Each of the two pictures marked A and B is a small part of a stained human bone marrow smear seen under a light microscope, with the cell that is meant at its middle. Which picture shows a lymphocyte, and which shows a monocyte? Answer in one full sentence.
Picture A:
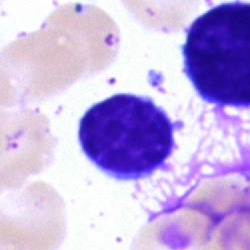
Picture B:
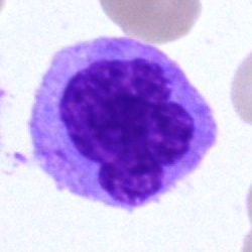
Picture A is of a lymphocyte, and picture B is of a monocyte.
